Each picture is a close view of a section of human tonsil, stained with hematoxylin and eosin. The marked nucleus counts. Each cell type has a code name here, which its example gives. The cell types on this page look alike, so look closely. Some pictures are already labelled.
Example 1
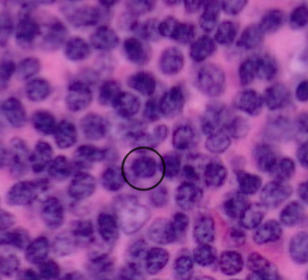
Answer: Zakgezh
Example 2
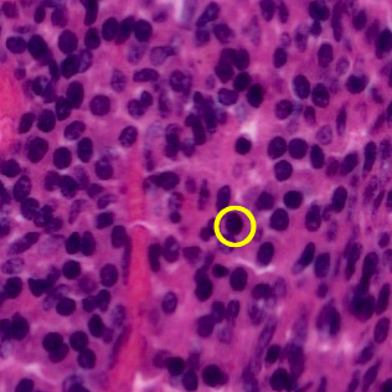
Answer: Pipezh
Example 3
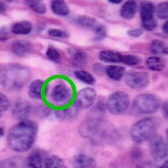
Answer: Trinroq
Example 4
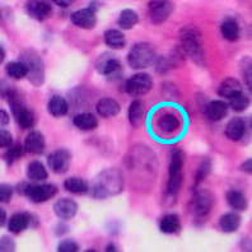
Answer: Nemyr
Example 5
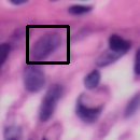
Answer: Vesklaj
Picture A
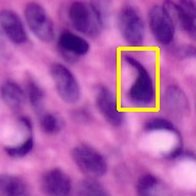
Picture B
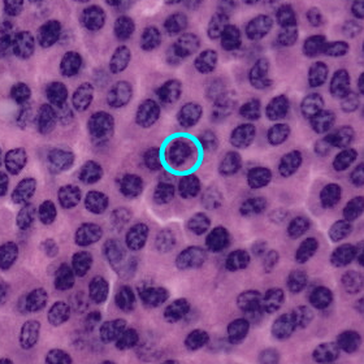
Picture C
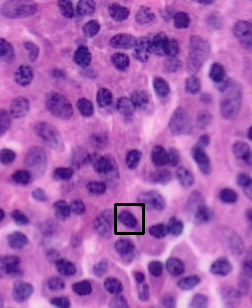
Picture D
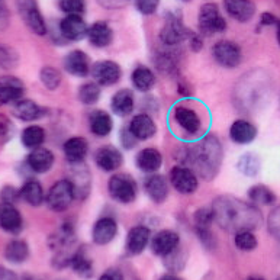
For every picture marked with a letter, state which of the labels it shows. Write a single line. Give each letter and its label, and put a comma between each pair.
A Vesklaj, B Pipezh, C Pipezh, D Nemyr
